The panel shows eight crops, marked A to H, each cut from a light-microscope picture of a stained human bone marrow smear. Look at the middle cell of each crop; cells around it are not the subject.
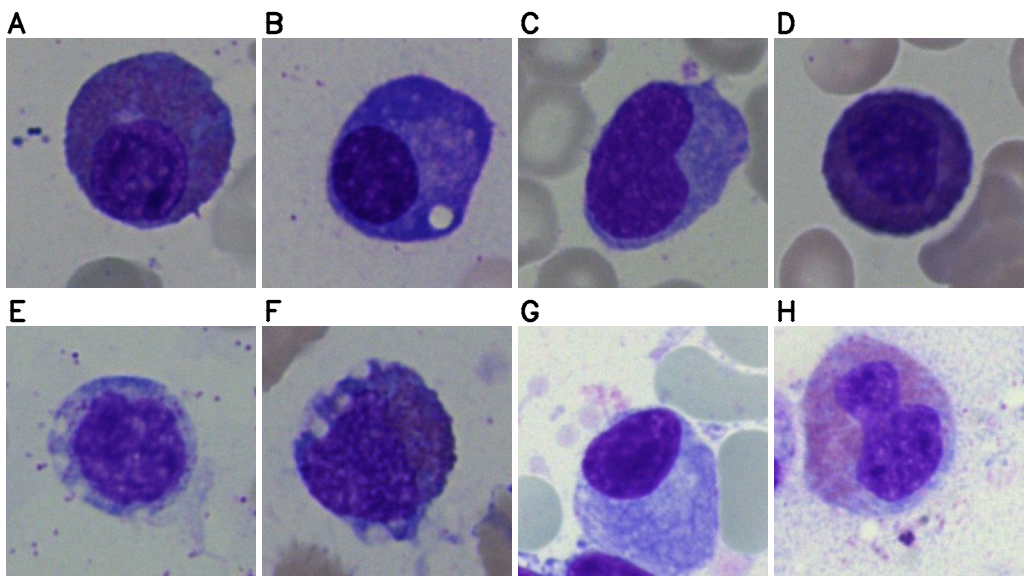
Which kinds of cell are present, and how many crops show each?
eosinophil: 4
plasma cell: 2
monocyte: 2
